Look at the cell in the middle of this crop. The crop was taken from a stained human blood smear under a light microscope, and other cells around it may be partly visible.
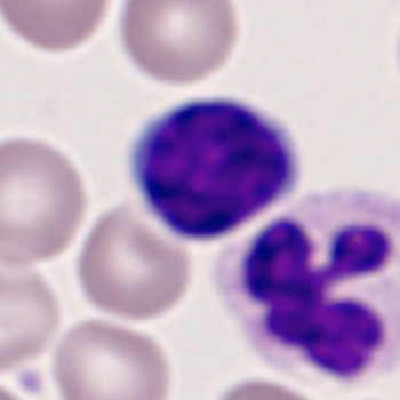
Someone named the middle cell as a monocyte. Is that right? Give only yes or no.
no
